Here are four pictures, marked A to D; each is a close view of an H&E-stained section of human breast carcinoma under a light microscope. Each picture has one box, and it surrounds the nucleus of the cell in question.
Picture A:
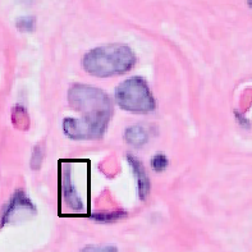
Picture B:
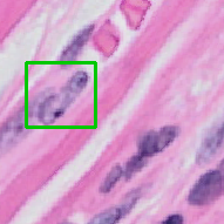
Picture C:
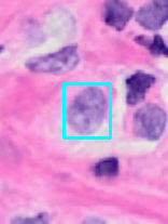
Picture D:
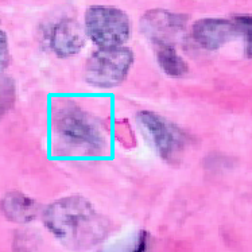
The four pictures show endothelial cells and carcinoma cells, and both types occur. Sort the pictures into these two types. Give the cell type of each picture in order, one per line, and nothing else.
endothelial cell
endothelial cell
carcinoma cell
endothelial cell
